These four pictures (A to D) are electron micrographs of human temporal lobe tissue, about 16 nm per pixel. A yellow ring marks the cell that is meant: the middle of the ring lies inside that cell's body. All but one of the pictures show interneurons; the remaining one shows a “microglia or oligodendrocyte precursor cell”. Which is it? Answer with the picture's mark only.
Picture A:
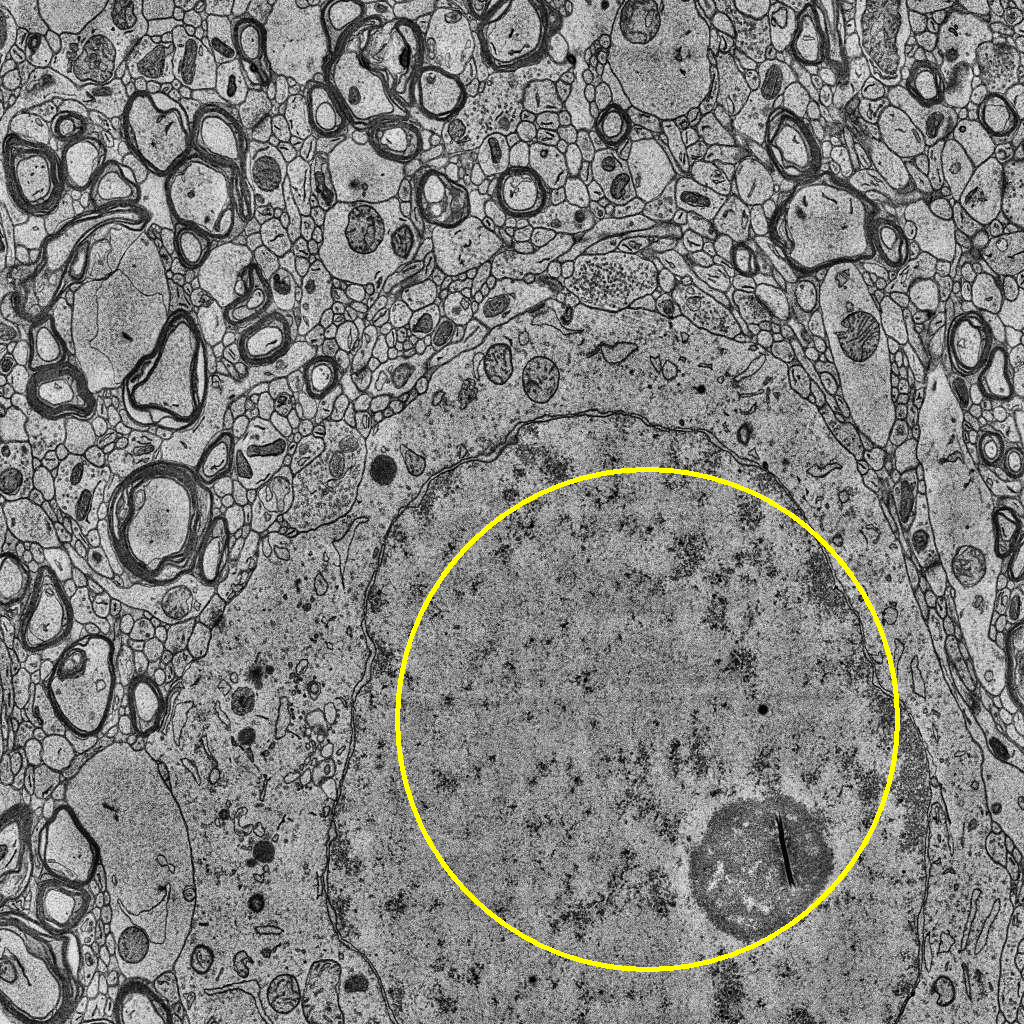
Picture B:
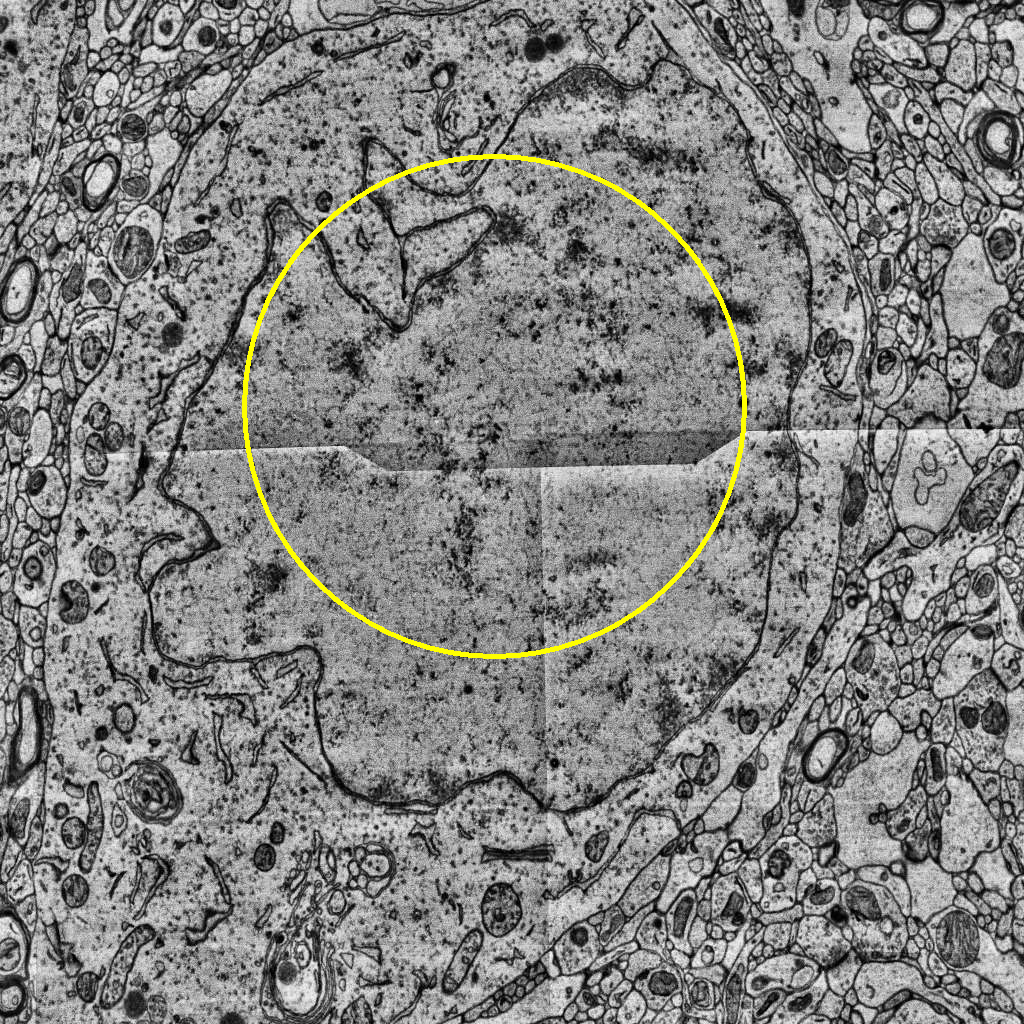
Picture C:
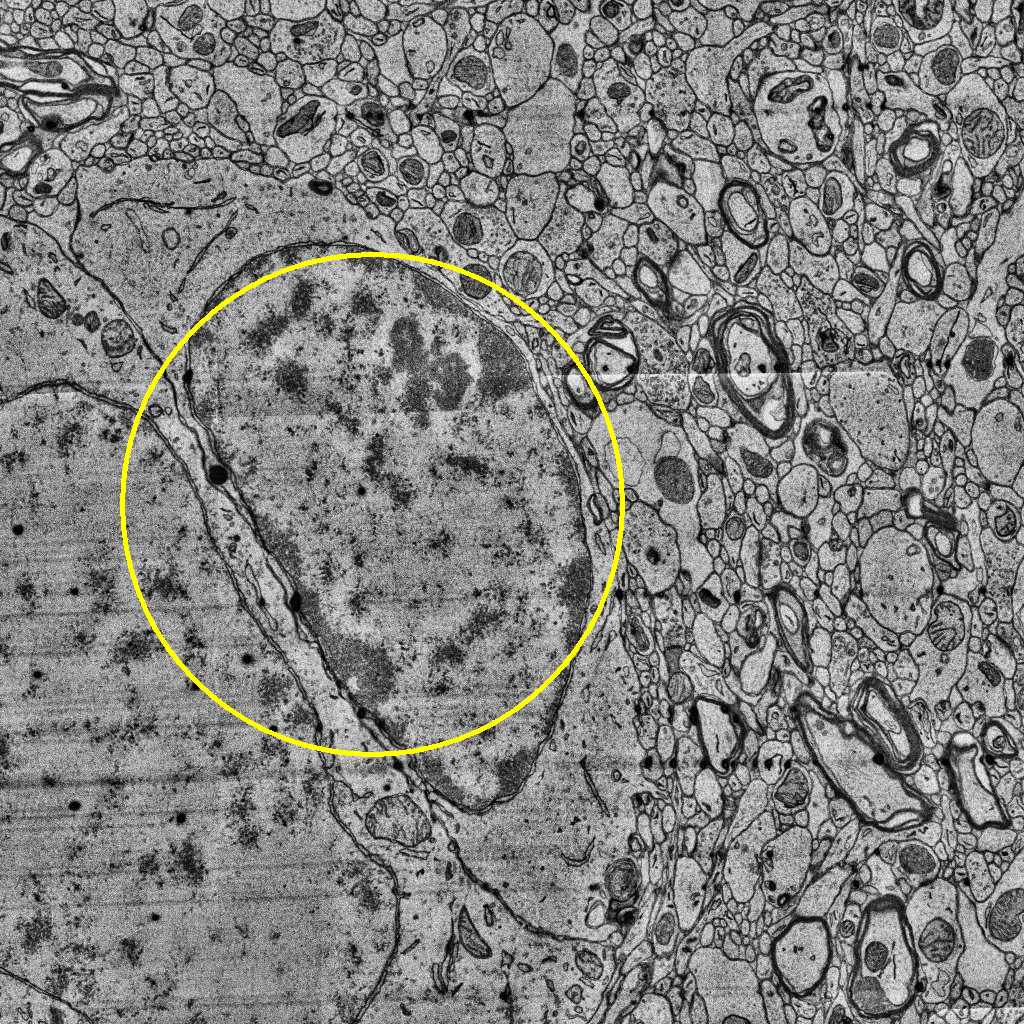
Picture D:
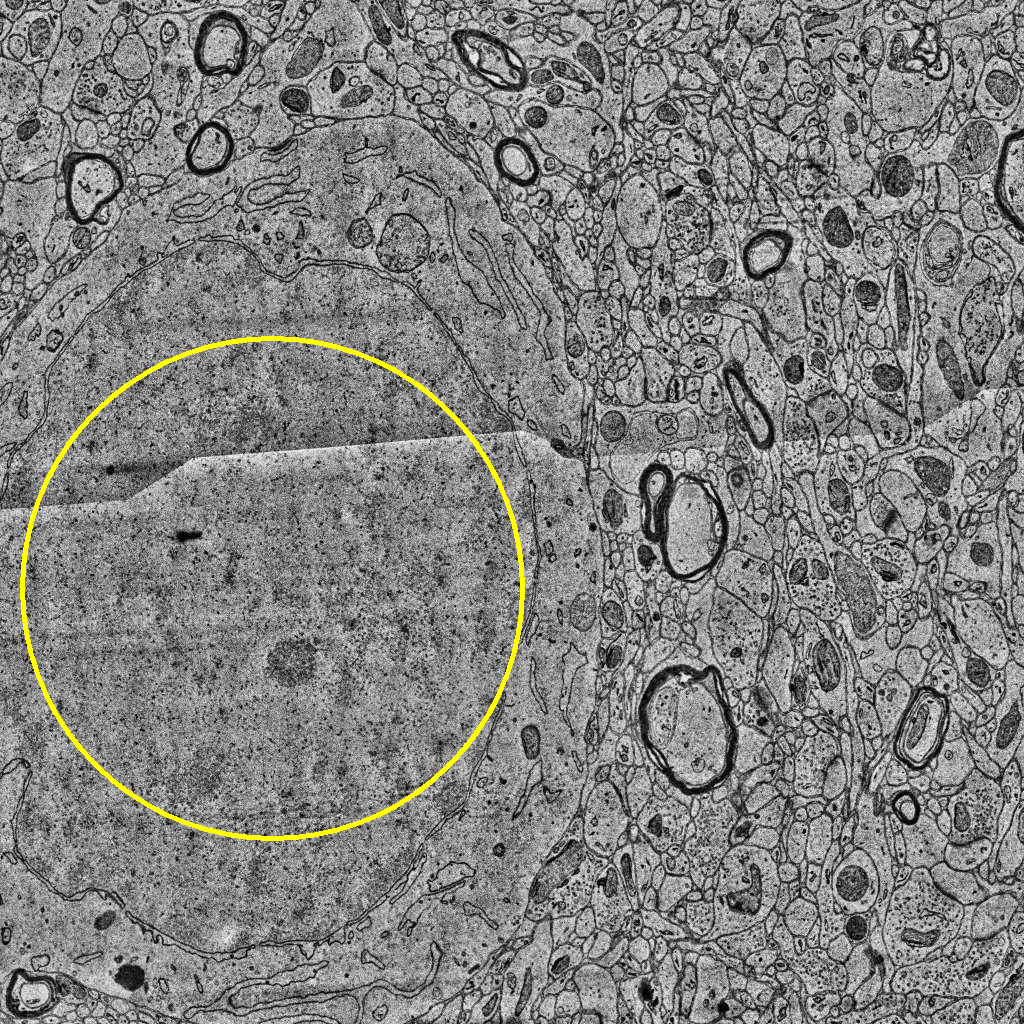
C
